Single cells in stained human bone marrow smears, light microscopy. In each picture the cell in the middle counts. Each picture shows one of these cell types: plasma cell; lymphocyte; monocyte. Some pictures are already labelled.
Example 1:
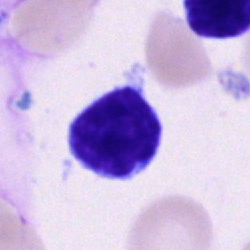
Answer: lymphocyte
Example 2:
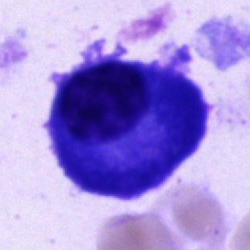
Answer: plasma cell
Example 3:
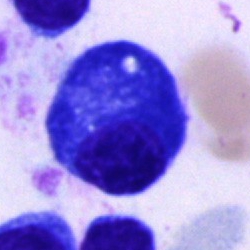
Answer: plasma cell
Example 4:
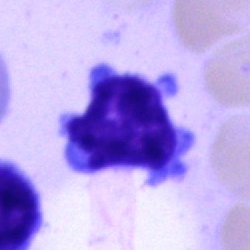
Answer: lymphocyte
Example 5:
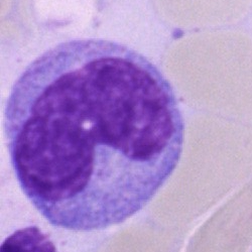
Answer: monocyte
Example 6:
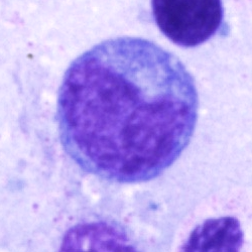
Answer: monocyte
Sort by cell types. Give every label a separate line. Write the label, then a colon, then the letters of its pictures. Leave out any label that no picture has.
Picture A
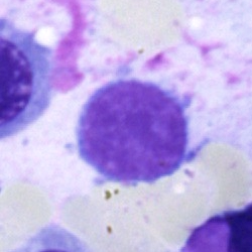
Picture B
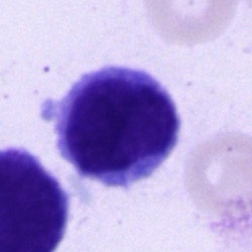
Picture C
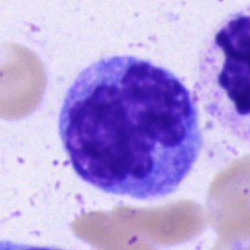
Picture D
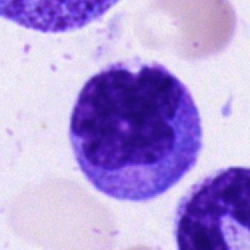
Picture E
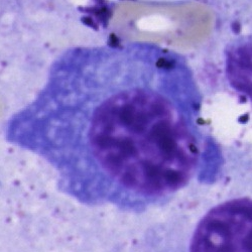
plasma cell: E
lymphocyte: A
monocyte: B, C, D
